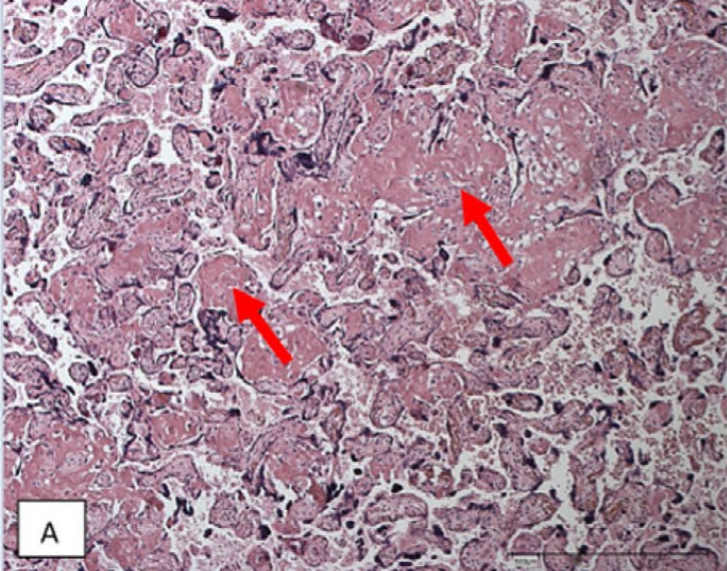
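This is placental tissue with many small chorionic villi cut in cross and oblique section. The villi are small and crowded, bounded by a thin purple trophoblast layer with dark nuclear clusters in places. Between the villi, and especially in the centre of the field, there are wide zones of homogeneous, pale pink, almost cell-free material surrounding villi and filling the intervillous space, into which the villi appear embedded. The villous stroma stains pink and contains few distinct vessels at this magnification.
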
